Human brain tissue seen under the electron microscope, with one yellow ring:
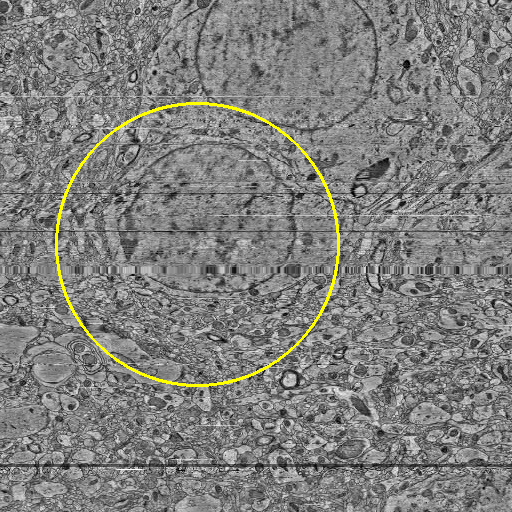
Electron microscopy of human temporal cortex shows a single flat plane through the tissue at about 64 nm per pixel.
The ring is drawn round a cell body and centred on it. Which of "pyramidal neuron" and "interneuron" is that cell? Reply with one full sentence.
The picture shows a pyramidal neuron at the very centre of the yellow ring.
